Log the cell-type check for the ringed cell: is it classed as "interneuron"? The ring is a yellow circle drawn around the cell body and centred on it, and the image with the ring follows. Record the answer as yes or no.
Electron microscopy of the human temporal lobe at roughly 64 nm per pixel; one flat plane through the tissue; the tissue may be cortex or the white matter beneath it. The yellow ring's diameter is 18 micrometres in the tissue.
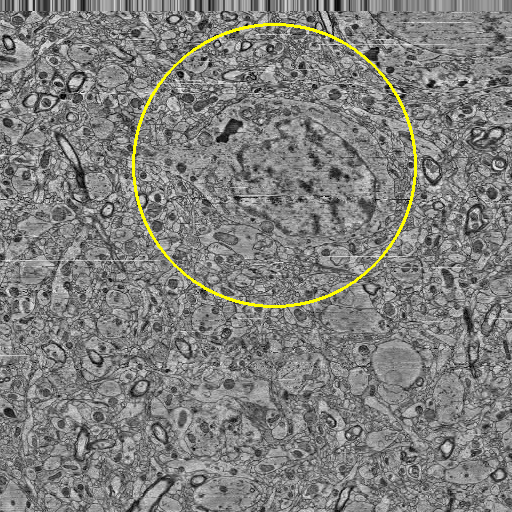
Yes, it is classed that way.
